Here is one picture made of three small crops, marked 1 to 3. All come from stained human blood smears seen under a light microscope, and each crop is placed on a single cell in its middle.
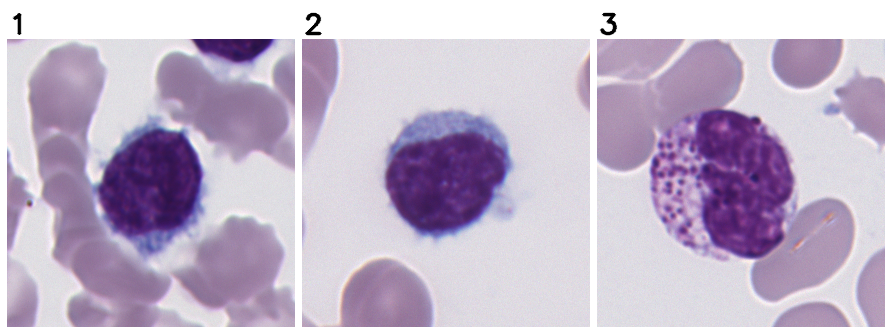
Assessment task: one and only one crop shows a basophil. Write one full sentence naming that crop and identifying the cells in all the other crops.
Crop 3 is recognised as a basophil, whereas crop 1 is a hairy cell and crop 2 is a typical lymphocyte.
